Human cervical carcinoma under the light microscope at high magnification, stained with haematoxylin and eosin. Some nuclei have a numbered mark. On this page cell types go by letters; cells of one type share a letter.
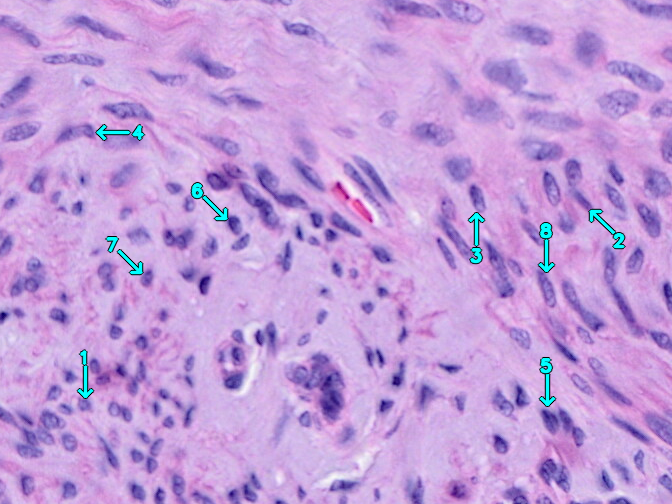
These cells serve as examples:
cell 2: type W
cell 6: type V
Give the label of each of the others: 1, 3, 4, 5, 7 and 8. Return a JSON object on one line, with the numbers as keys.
{"1": "type W", "3": "type V", "4": "type W", "5": "type V", "7": "type W", "8": "type W"}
